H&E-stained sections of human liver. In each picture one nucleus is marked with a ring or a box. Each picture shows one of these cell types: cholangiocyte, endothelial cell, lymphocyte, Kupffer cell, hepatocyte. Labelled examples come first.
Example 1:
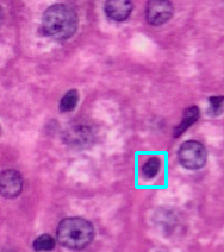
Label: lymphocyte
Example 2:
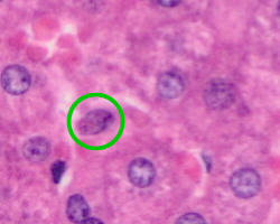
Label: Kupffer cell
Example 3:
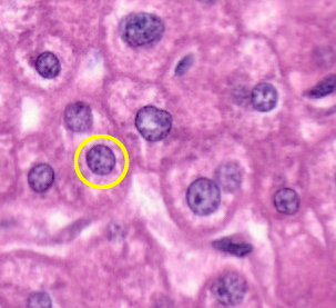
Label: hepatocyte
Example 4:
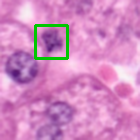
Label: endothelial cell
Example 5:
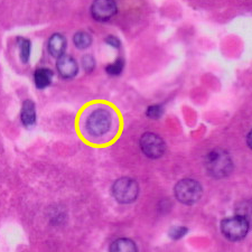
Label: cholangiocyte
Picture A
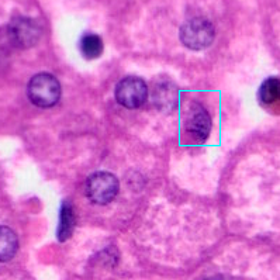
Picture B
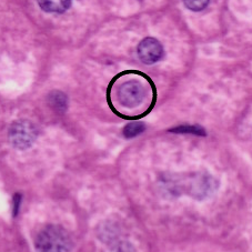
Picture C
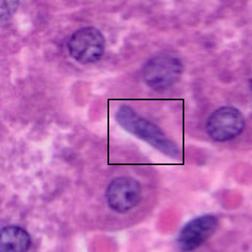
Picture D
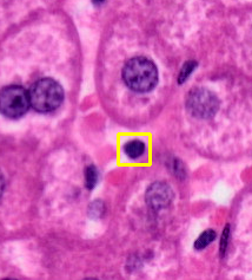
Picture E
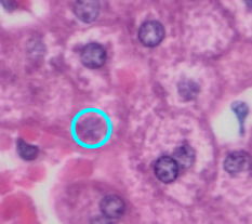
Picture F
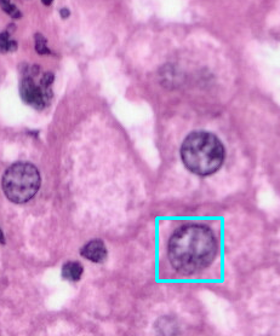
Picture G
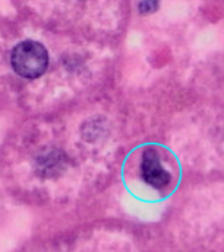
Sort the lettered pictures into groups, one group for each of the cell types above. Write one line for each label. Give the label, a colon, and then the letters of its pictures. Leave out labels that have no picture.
lymphocyte: D
Kupffer cell: A, C, G
hepatocyte: B, E, F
